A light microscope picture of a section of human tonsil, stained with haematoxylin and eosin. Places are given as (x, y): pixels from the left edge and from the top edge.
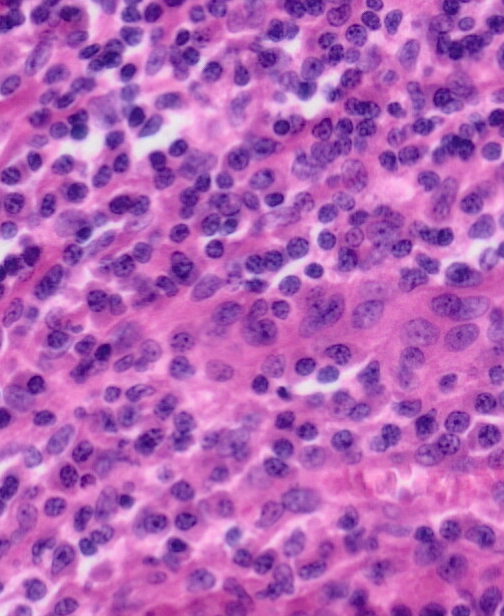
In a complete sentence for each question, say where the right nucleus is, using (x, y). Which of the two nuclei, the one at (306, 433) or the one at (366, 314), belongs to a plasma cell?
The one belonging to a plasma cell is the nucleus at (306, 433), not the other.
